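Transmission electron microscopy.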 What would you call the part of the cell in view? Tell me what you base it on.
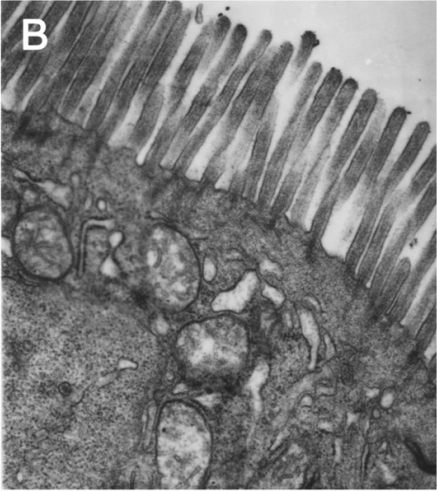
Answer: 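Intact microvilli. Long, straight, evenly spaced microvilli project from the apical surface. The microvilli are of similar length and unbroken.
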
